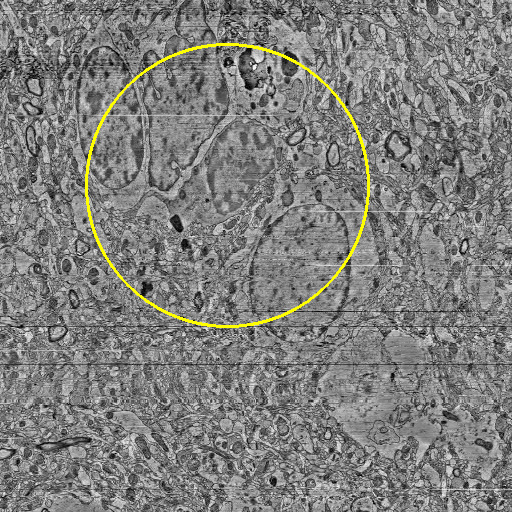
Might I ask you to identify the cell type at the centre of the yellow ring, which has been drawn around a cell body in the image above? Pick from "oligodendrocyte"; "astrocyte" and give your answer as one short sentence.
The centre of the ring falls on an oligodendrocyte.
